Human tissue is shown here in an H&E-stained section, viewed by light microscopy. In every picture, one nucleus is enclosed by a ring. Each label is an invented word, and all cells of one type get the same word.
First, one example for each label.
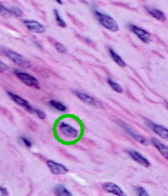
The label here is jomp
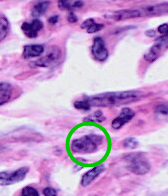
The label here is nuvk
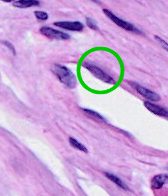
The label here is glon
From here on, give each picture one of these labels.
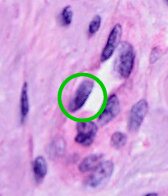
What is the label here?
glon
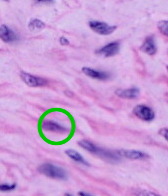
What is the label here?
jomp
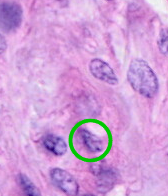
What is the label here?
glon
